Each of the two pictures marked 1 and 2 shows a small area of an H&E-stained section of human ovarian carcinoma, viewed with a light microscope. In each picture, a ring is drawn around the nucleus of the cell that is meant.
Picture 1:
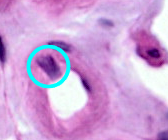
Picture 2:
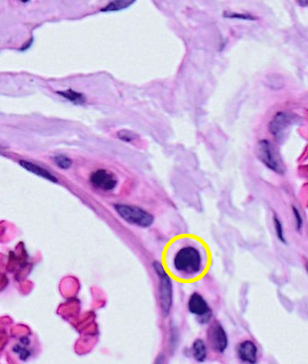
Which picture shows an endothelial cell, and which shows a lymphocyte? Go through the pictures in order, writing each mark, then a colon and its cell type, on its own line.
1: endothelial cell
2: lymphocyte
